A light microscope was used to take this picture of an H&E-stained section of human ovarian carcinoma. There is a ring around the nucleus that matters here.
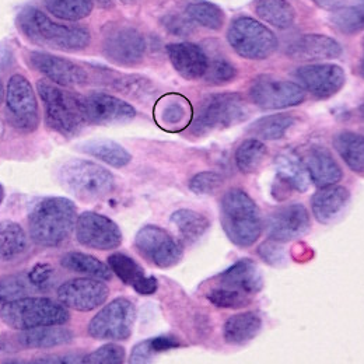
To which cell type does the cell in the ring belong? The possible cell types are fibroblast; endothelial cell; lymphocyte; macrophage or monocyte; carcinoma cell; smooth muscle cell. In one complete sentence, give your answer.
As classified here, the cell in the ring is a macrophage or monocyte.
